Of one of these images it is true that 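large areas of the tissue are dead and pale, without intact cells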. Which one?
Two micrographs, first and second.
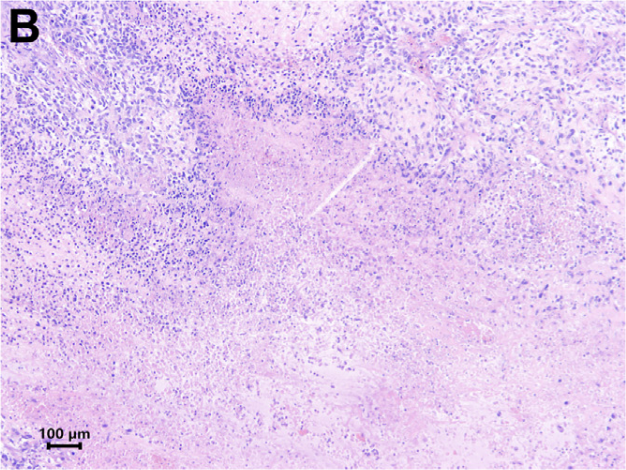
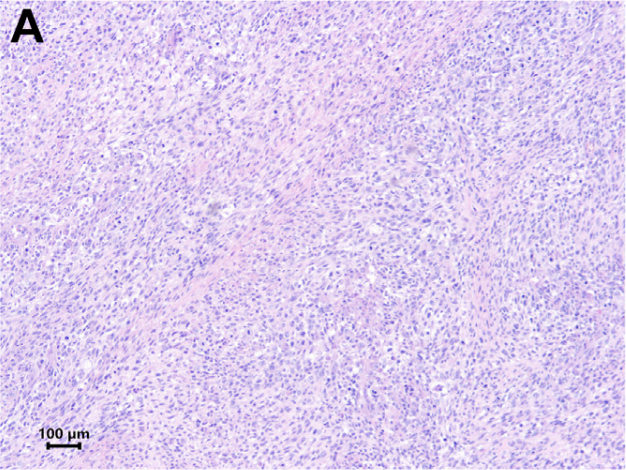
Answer: The first image.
